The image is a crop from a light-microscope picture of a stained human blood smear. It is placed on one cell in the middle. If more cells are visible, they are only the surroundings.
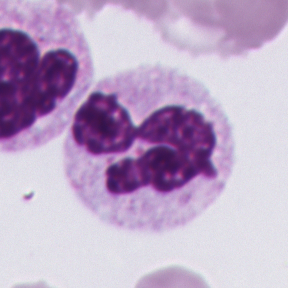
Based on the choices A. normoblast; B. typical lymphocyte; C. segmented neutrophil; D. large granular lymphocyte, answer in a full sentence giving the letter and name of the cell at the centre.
Option C is to be chosen, as the central cell is a segmented neutrophil.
